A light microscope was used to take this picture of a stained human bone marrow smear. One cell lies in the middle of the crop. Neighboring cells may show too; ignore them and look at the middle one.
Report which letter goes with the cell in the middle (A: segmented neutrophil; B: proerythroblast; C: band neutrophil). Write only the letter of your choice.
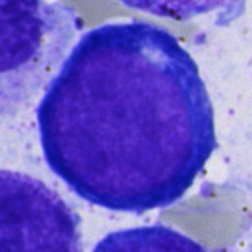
B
